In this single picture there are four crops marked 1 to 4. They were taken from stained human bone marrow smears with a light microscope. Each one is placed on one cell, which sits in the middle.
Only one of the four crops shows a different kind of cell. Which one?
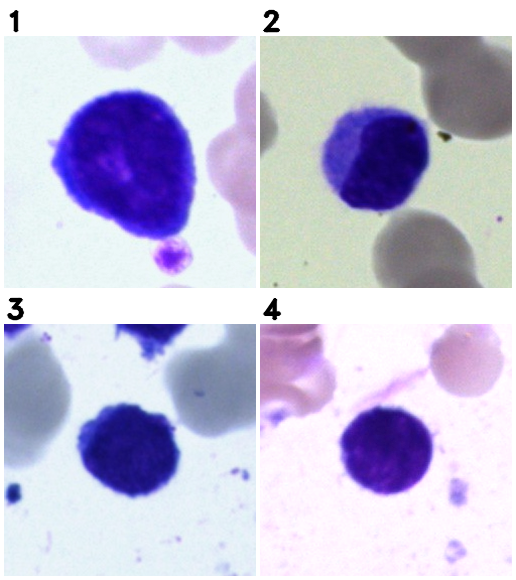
1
